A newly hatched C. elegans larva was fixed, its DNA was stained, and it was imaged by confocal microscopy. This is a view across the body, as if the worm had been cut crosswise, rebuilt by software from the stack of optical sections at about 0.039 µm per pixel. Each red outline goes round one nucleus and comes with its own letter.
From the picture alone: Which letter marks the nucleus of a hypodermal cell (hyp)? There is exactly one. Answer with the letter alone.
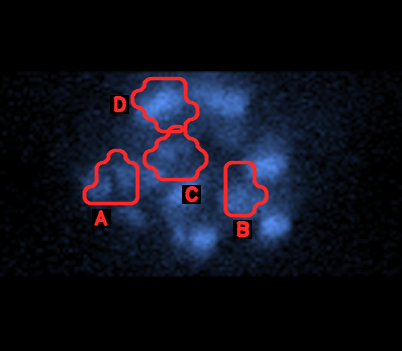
A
